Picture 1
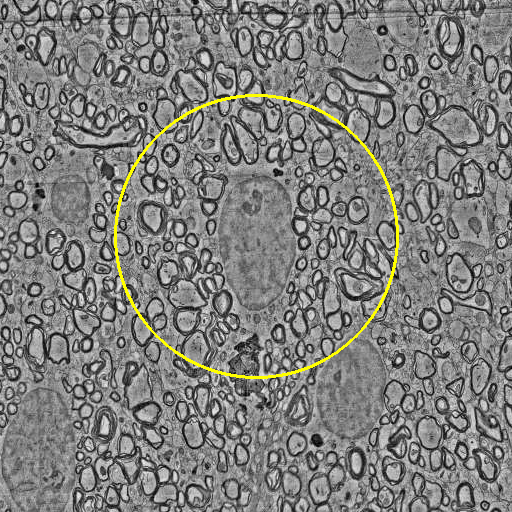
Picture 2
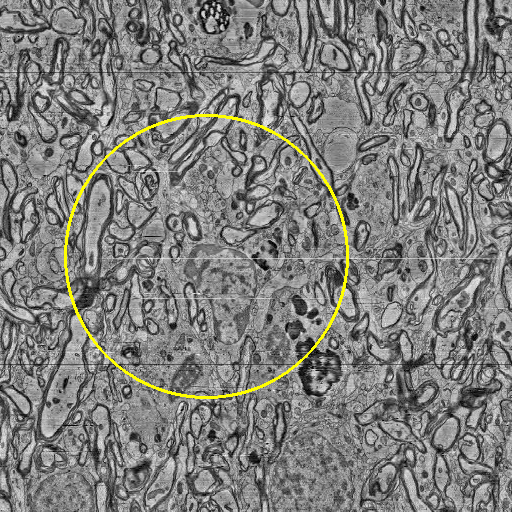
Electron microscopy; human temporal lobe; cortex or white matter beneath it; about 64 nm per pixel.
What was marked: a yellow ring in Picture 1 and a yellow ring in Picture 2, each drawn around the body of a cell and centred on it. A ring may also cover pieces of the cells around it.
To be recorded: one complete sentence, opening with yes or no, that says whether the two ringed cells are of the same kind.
No, the two ringed cells are of two kinds.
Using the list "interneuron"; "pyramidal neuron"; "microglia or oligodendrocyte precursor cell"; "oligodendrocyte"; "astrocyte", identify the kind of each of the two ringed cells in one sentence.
The first is an oligodendrocyte and the second is a microglial cell or oligodendrocyte precursor cell.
